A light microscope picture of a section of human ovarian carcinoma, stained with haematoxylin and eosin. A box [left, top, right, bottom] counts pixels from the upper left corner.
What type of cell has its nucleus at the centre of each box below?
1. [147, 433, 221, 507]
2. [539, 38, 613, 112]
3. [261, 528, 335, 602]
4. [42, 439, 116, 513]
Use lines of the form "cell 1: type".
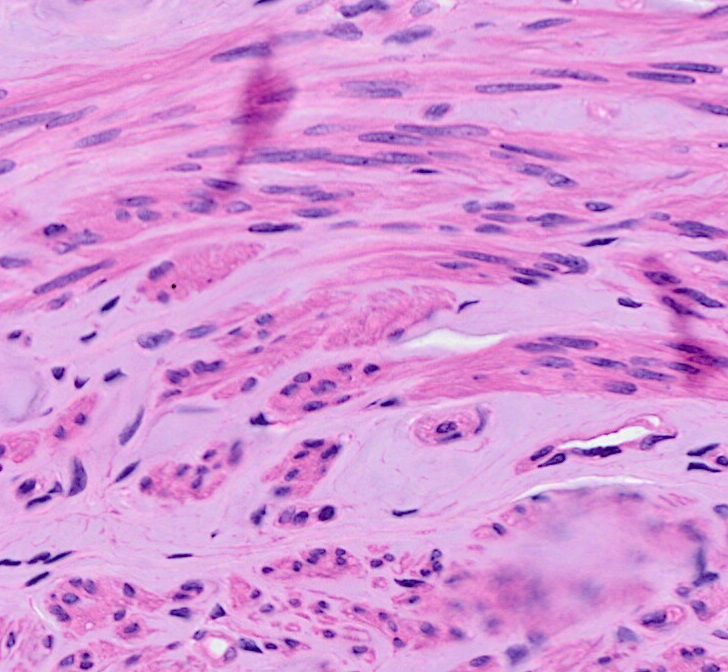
cell 1: smooth muscle cell
cell 2: smooth muscle cell
cell 3: smooth muscle cell
cell 4: fibroblast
